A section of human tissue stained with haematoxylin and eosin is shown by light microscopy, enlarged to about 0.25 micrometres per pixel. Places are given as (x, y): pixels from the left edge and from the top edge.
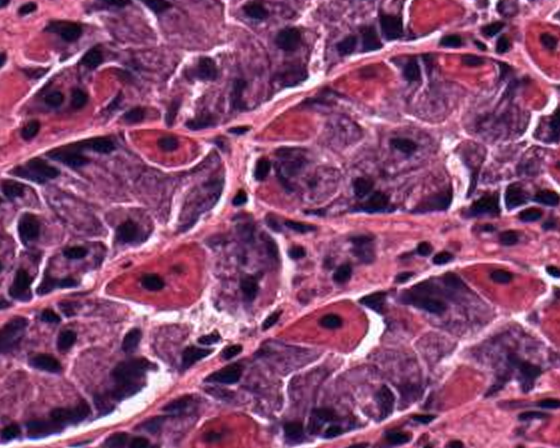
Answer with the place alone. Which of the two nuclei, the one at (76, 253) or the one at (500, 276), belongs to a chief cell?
(76, 253)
